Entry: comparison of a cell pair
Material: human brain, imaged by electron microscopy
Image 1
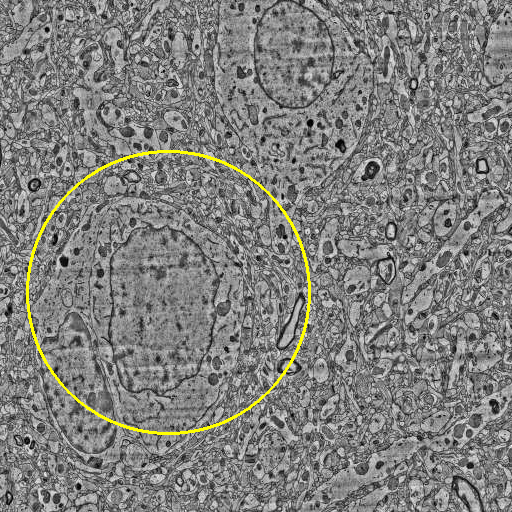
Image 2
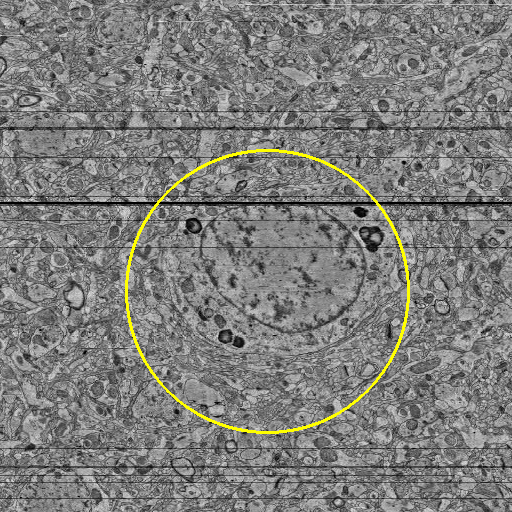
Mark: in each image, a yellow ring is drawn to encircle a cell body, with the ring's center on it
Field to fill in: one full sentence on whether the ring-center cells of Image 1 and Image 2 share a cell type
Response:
Yes, Image 1 and Image 2 each show a ring-center cell of one shared type.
